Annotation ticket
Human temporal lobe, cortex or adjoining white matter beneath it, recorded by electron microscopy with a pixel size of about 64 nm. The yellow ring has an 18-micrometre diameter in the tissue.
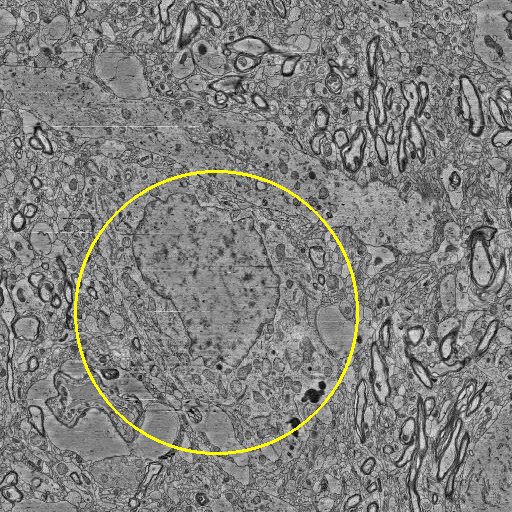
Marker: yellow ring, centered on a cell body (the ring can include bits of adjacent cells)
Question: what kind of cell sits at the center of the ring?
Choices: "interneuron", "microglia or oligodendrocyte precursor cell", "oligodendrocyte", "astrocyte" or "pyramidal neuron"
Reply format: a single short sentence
The ring is centered on an interneuron.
